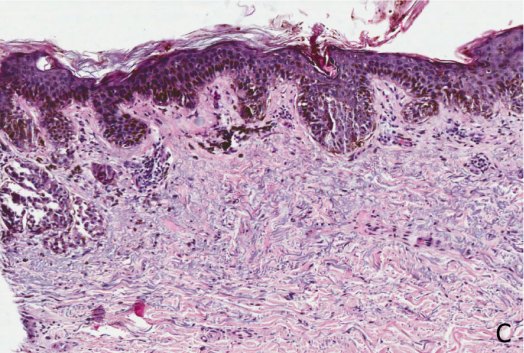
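Skin with epidermis and underlying dermis, showing compact aggregates of atypical melanocytes at the junction between the two, mainly at the tips of rete ridges. The aggregated cells carry dark, enlarged nuclei and are accompanied by abundant brown pigment, also seen in the basal layer. The dermis below is pink fibrous tissue with scattered small cells.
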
